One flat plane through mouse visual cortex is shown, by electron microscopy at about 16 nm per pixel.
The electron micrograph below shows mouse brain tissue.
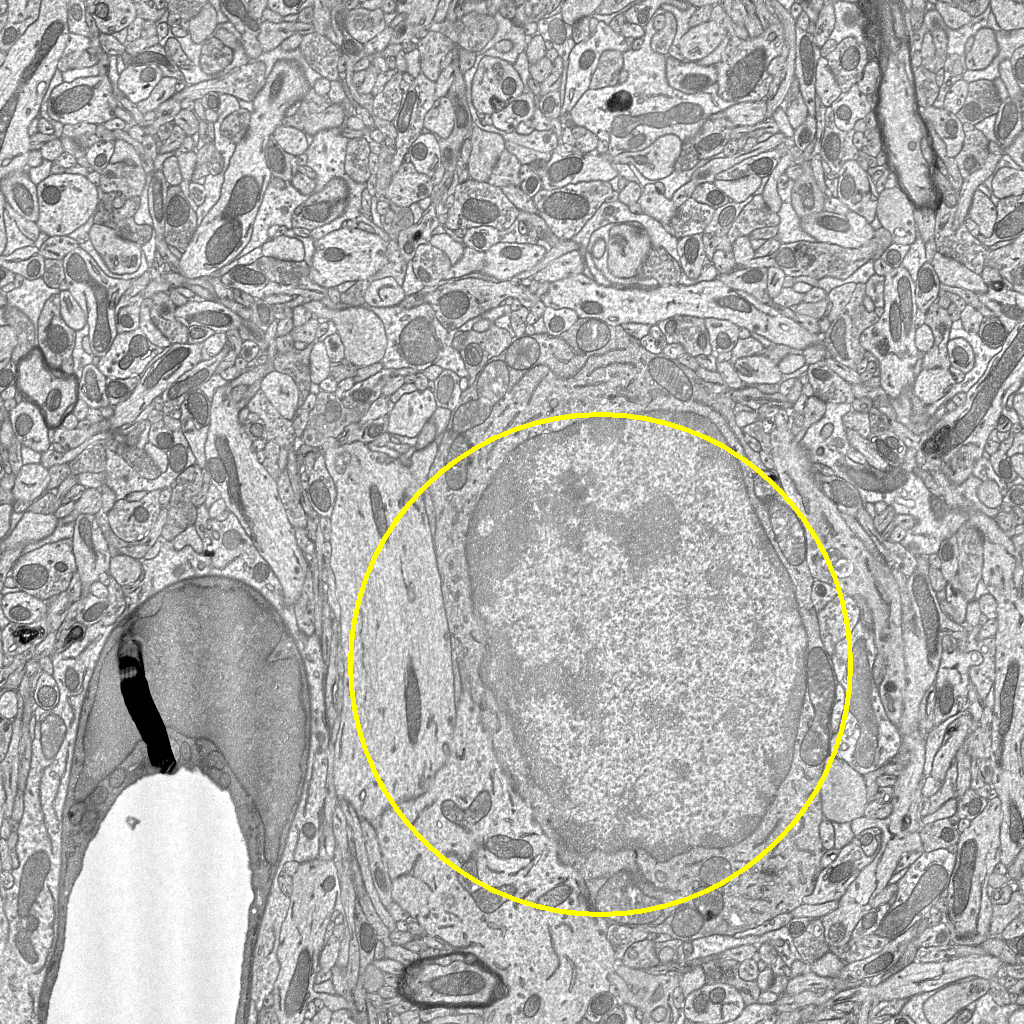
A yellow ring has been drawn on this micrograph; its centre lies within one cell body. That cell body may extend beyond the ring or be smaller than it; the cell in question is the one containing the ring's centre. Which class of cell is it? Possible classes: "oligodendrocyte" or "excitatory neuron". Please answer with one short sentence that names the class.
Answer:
In the centre of the ring sits an oligodendrocyte.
